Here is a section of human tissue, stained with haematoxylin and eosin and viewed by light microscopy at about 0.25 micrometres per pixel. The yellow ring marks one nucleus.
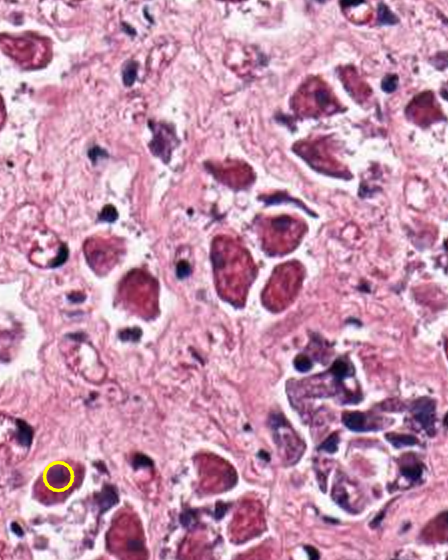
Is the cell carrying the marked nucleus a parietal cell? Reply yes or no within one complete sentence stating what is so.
Yes, the nucleus bearing the mark is that of a parietal cell.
